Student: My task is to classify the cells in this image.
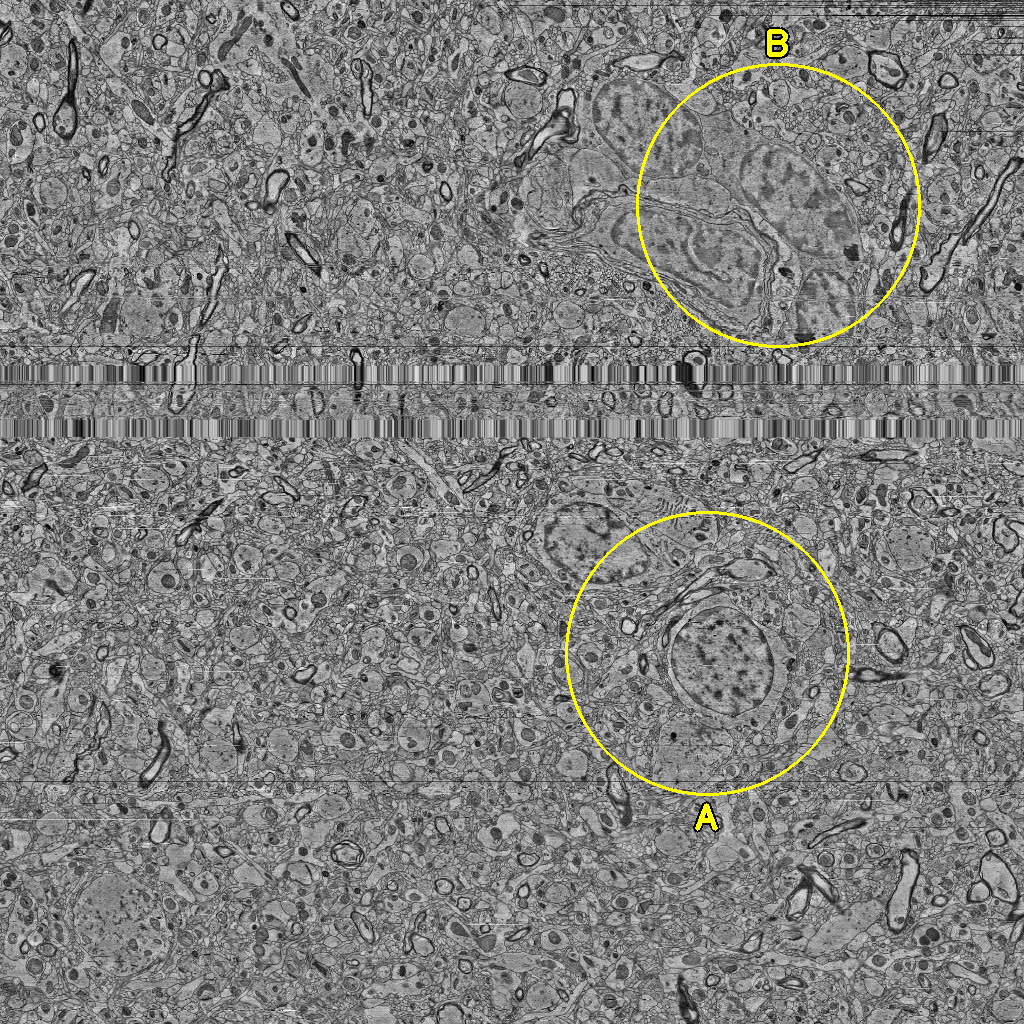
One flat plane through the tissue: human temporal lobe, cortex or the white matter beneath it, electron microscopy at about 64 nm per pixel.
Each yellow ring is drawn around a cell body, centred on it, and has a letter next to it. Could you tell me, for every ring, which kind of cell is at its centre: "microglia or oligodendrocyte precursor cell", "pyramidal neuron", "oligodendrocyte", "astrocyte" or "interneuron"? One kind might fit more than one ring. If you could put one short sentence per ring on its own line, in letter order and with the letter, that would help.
Ring A's central cell is a microglial cell or oligodendrocyte precursor cell.
Ring B's central cell is an oligodendrocyte.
